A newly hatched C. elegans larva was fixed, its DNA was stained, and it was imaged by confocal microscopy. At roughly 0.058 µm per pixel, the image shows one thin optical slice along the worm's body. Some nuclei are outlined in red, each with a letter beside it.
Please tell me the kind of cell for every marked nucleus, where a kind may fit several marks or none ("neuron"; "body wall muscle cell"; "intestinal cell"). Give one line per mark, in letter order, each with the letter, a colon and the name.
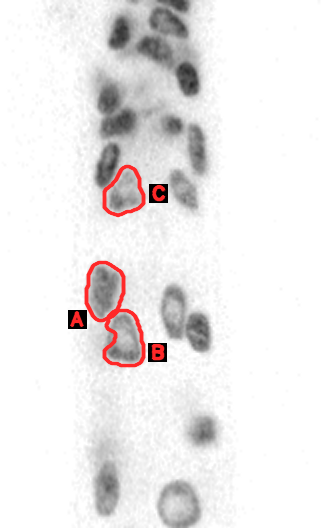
A: body wall muscle cell
B: intestinal cell
C: intestinal cell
